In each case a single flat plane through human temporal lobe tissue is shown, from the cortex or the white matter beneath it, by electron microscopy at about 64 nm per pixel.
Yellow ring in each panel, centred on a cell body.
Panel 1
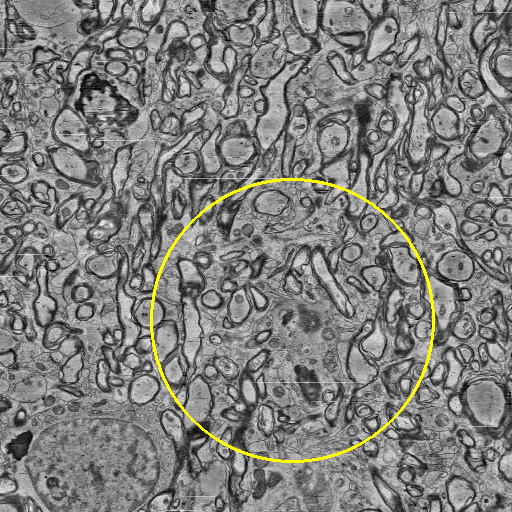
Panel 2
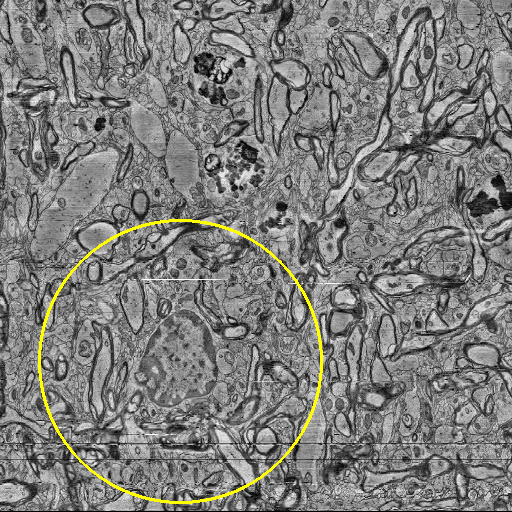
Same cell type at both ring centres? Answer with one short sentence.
No, the two cells are of two types.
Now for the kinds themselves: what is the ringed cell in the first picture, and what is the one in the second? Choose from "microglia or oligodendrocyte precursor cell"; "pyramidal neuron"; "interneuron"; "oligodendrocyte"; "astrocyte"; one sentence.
Here the first cell is an oligodendrocyte and the second cell is a microglial cell or oligodendrocyte precursor cell.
